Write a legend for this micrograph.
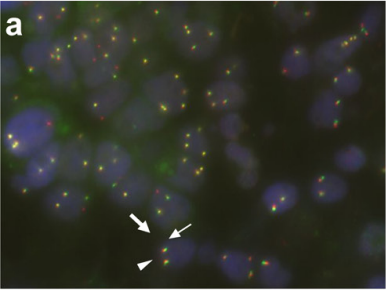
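Nuclei of tumor cells appear as blue round to oval bodies, some overlapping. Within them lie small bright dots, many yellow where green and orange lie together, and some separate green and orange dots lying apart from each other within the same nucleus.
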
